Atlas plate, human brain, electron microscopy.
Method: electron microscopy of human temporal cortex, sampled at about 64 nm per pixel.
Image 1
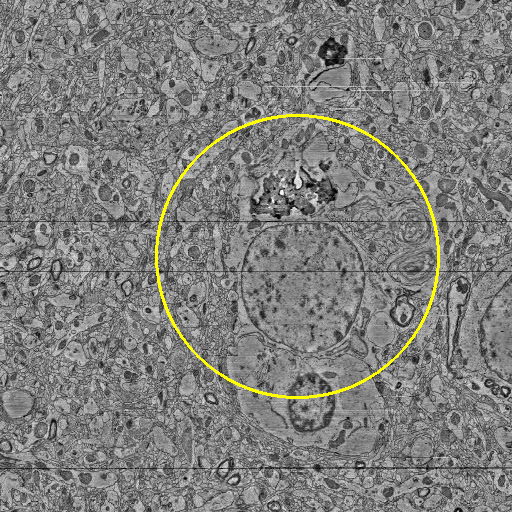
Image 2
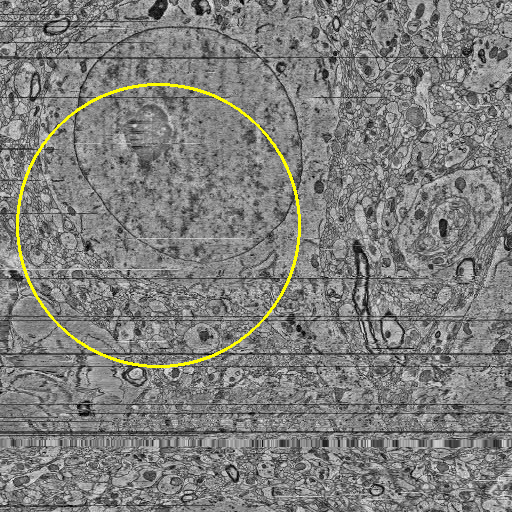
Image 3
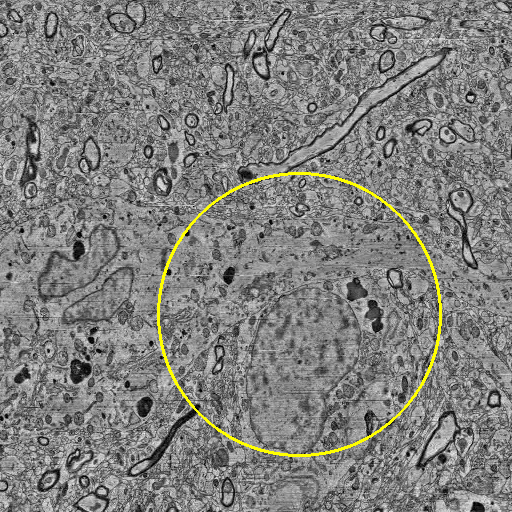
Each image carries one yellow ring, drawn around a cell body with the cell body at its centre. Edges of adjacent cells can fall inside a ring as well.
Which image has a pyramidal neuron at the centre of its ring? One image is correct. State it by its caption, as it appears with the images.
Image 2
